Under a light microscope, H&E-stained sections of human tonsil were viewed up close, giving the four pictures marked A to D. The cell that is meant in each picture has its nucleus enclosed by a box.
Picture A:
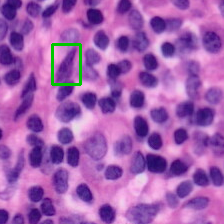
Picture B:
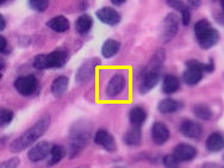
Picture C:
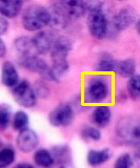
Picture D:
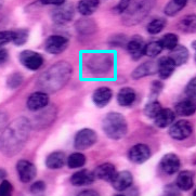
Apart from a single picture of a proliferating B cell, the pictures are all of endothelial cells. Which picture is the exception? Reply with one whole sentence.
The proliferating B cell is the one in picture C.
